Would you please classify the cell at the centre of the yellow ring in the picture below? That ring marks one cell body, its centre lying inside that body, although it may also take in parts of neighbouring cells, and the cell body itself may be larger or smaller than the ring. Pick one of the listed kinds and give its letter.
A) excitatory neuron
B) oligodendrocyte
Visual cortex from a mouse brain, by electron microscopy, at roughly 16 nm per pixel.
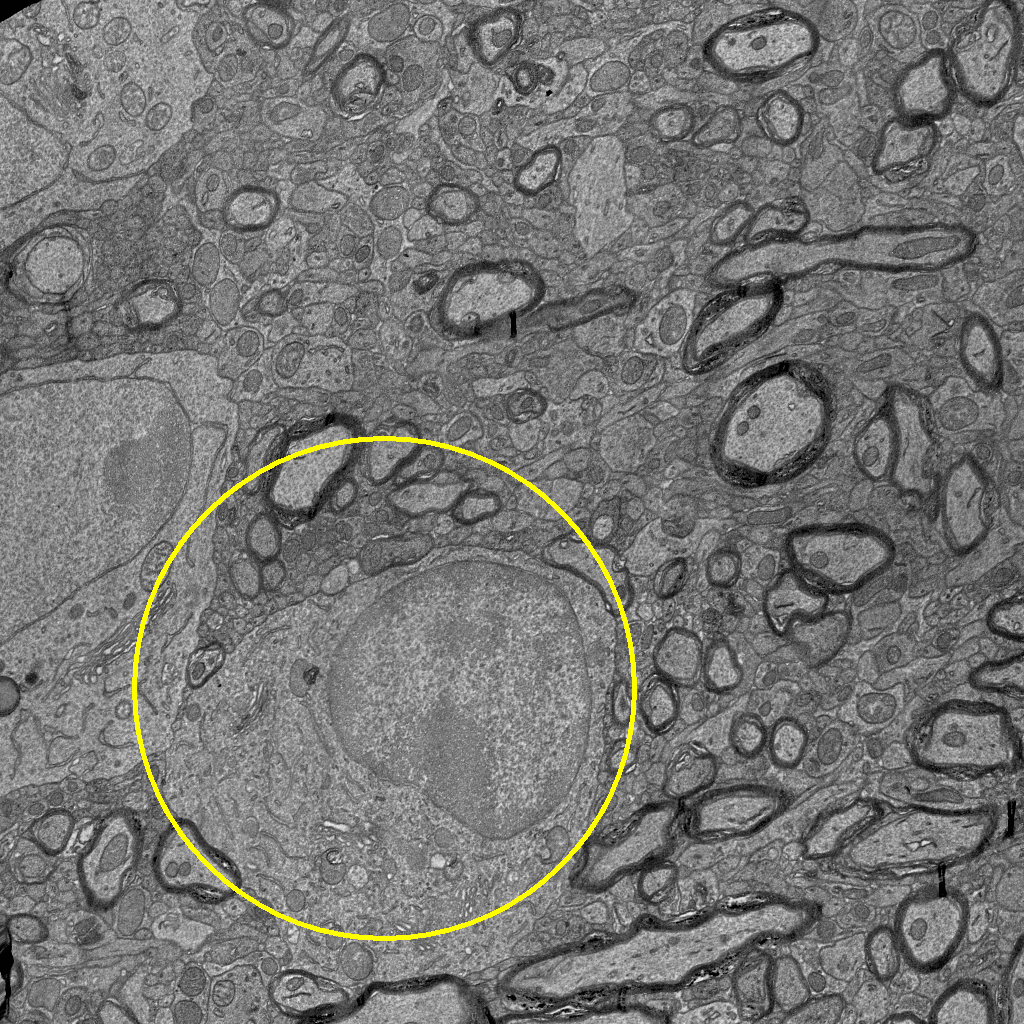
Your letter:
B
